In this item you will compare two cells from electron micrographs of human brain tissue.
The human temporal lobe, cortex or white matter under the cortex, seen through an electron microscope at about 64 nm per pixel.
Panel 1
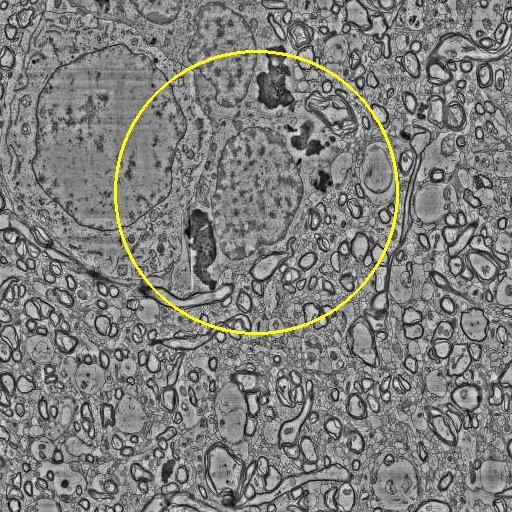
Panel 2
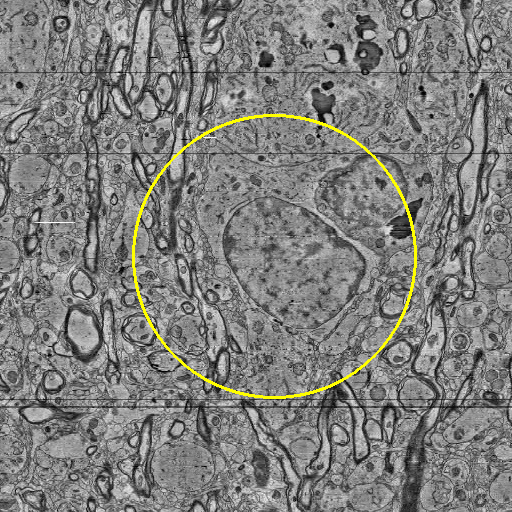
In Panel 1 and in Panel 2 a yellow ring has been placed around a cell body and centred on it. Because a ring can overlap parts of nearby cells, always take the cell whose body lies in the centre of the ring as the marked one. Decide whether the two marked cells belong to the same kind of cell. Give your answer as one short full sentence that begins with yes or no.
No, the two marked cells belong to two kinds of cell.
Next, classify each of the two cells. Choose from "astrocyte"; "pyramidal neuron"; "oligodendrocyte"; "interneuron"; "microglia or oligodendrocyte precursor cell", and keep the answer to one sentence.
In the first picture it is an oligodendrocyte; in the second it is a microglial cell or oligodendrocyte precursor cell.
